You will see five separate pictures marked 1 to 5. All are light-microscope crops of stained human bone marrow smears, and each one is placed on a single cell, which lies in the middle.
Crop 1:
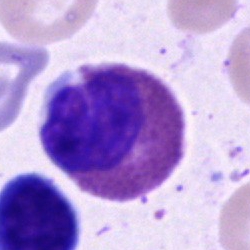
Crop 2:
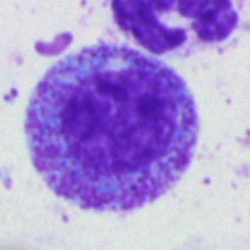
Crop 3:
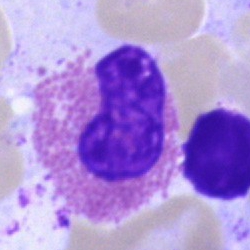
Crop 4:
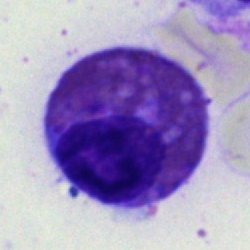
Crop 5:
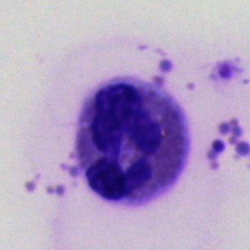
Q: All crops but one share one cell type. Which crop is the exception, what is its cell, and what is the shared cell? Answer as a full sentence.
The exception is crop 2, with a myelocyte; the remaining crops all show eosinophils.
